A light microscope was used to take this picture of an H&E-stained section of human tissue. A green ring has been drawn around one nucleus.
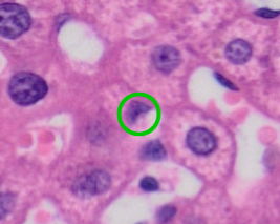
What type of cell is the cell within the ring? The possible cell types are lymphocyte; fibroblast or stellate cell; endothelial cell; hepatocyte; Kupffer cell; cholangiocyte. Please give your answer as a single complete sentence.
The correct response here is that the cell within the ring is an endothelial cell.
